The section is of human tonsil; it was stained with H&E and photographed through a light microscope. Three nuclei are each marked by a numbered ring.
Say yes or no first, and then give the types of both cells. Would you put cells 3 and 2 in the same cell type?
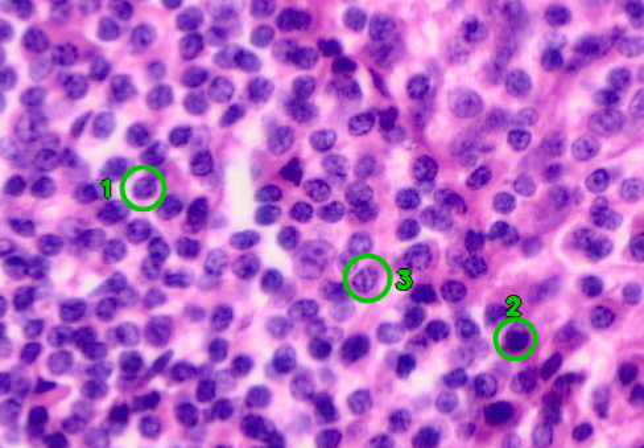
Yes, cells 3 and 2 are both classed as plasma cells.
